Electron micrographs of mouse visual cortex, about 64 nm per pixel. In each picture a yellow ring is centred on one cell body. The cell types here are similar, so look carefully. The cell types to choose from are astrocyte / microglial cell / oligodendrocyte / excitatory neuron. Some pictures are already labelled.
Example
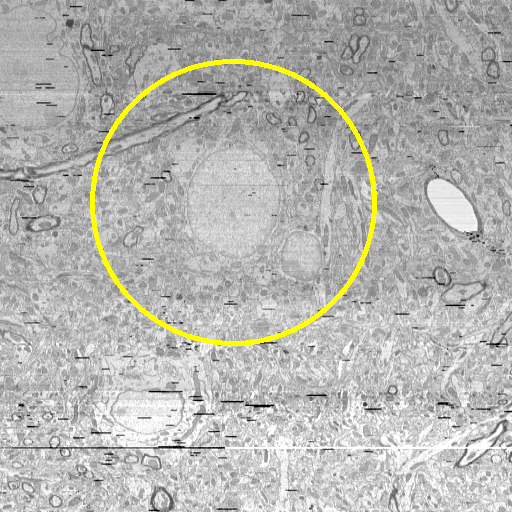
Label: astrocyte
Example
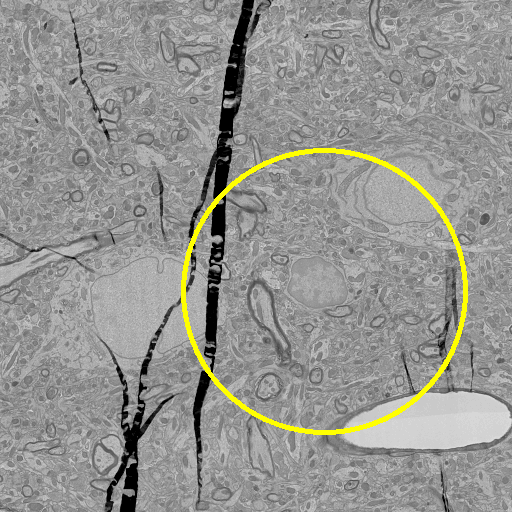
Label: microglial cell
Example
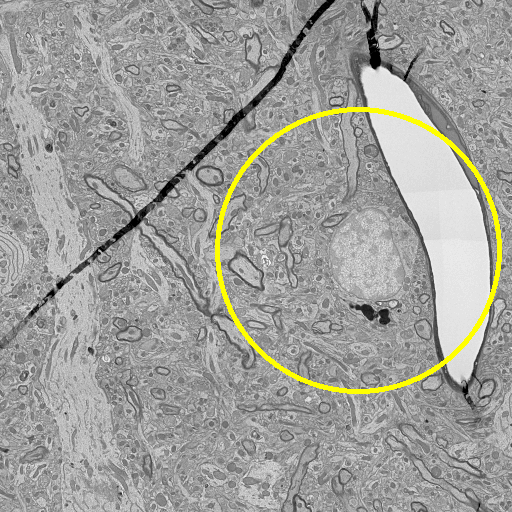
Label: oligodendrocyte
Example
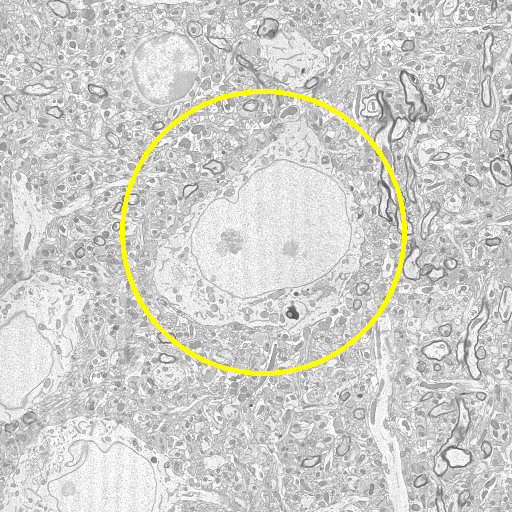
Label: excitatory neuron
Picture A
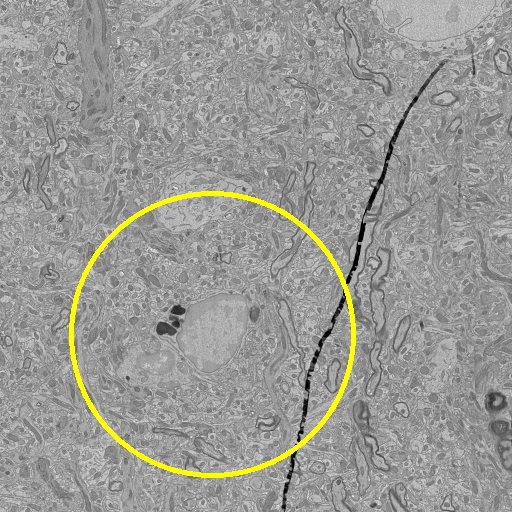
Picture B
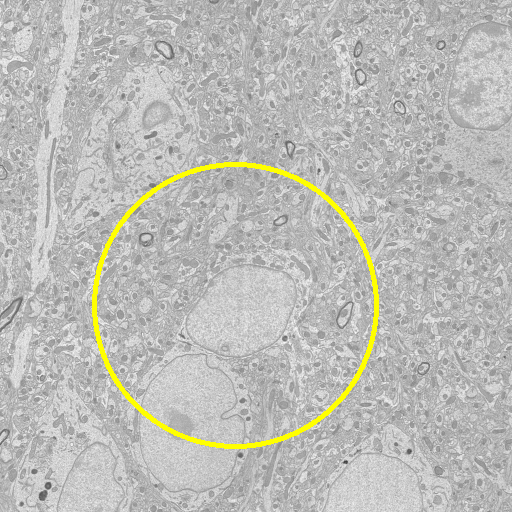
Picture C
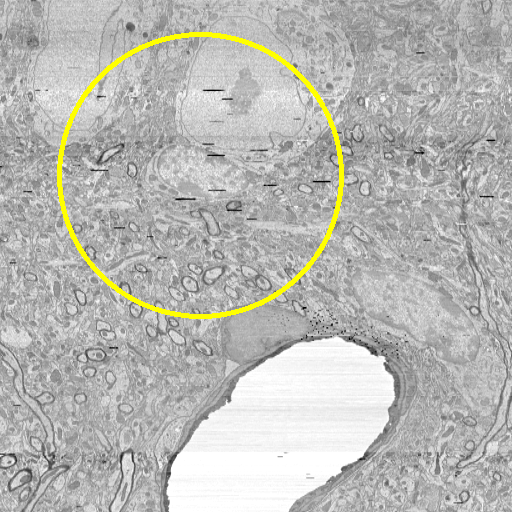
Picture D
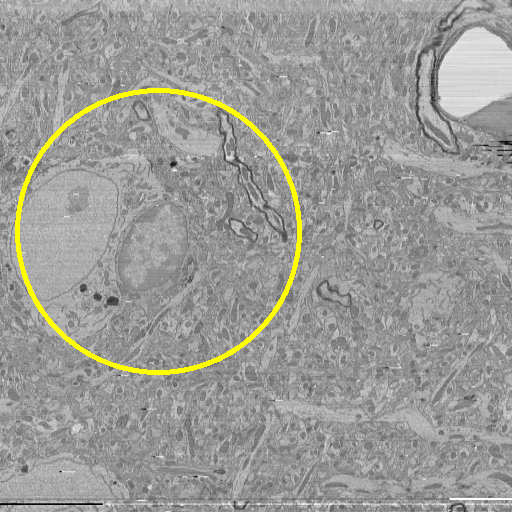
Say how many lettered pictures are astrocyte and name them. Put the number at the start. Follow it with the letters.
1: B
